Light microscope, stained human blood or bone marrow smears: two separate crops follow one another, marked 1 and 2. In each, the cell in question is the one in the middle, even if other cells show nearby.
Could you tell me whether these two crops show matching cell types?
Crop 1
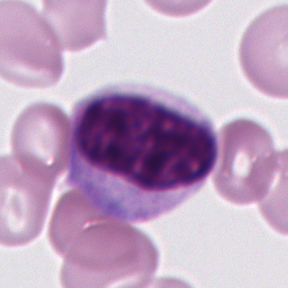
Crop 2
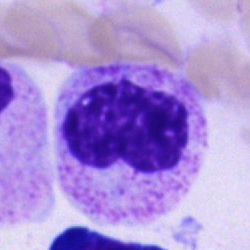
yes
